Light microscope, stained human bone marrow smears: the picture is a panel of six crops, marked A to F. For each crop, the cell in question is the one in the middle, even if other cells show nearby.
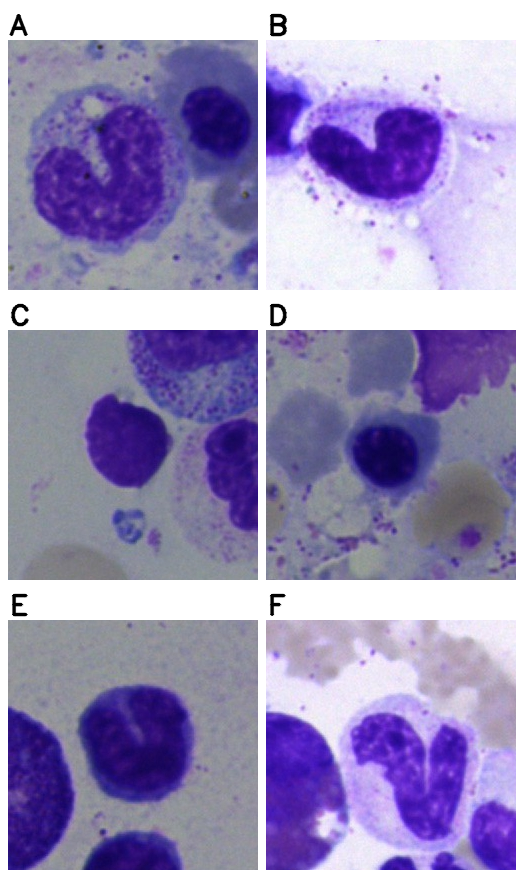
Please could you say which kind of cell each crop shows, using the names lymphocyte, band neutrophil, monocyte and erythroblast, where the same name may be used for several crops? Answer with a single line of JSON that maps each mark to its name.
{"A": "monocyte", "B": "band neutrophil", "C": "lymphocyte", "D": "erythroblast", "E": "monocyte", "F": "band neutrophil"}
